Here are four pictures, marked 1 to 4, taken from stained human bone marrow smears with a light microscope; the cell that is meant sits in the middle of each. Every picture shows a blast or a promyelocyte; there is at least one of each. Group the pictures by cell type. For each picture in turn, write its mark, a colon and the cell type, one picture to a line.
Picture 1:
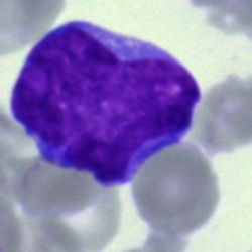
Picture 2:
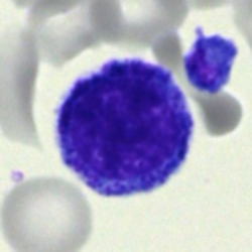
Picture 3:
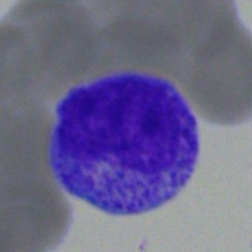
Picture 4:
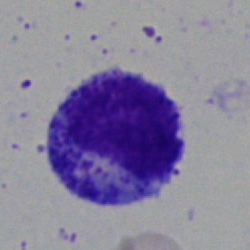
1: blast
2: promyelocyte
3: promyelocyte
4: promyelocyte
